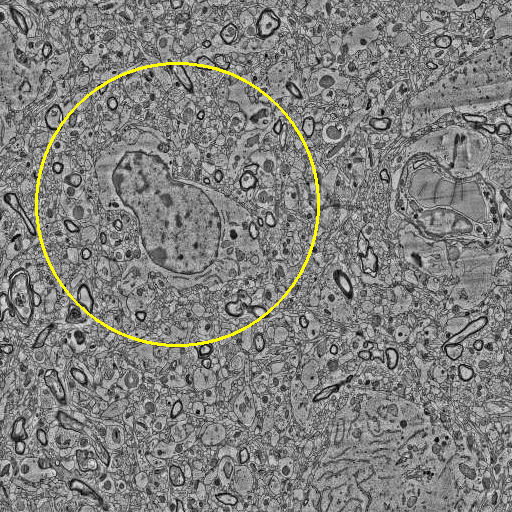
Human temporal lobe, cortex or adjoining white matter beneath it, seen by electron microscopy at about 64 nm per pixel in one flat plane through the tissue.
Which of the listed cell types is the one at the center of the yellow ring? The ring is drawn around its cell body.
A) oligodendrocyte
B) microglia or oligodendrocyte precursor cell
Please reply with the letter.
B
